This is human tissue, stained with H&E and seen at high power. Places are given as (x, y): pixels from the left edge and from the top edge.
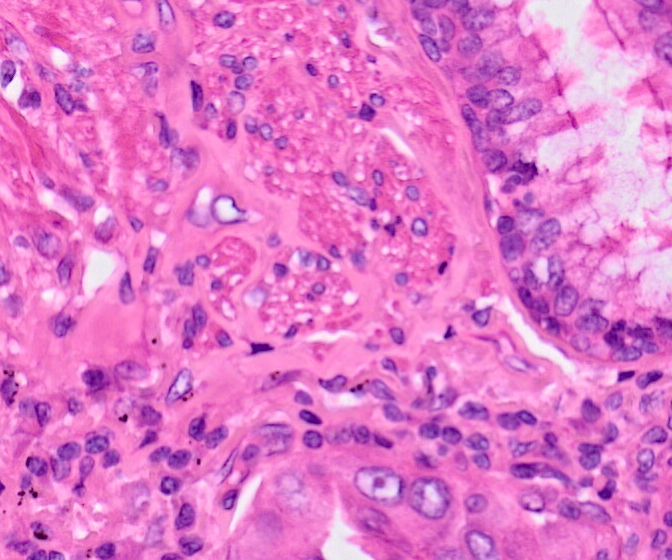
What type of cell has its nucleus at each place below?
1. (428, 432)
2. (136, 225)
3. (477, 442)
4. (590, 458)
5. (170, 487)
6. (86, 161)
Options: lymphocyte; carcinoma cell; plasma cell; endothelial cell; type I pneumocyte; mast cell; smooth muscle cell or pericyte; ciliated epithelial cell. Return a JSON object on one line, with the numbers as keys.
{"1": "lymphocyte", "2": "smooth muscle cell or pericyte", "3": "lymphocyte", "4": "lymphocyte", "5": "plasma cell", "6": "smooth muscle cell or pericyte"}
